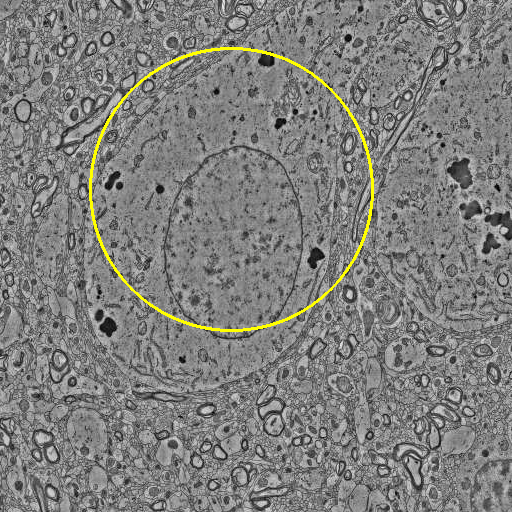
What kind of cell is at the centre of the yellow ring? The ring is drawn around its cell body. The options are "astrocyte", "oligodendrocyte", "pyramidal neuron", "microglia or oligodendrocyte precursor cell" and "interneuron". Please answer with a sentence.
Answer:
The yellow ring marks the cell body of a pyramidal neuron.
